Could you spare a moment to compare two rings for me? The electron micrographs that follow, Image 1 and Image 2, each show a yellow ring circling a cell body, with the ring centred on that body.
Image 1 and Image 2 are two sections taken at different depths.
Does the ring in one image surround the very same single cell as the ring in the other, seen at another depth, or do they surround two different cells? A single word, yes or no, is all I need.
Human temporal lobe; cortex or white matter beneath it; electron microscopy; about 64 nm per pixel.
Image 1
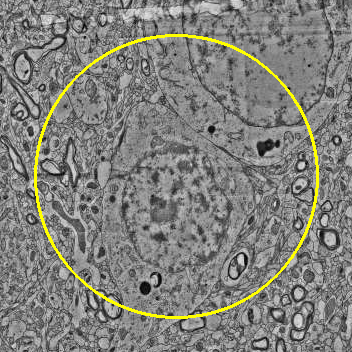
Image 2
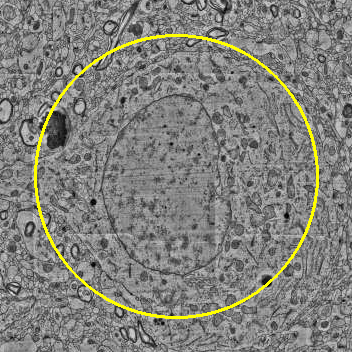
no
